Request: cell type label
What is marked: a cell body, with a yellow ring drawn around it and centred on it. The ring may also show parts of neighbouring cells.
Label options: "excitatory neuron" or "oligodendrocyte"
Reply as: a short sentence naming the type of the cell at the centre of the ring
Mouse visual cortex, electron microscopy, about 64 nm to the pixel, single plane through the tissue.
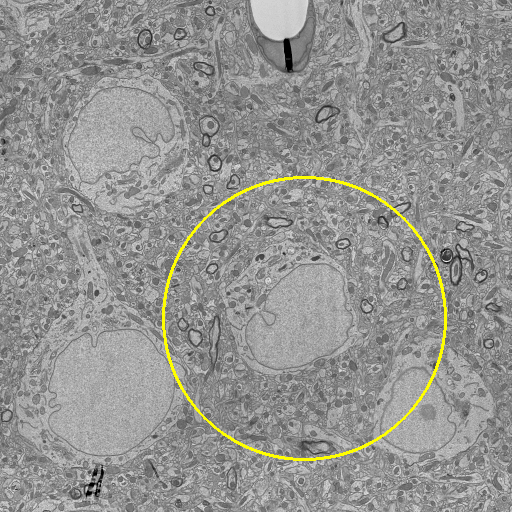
The marked cell body is that of an excitatory neuron.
